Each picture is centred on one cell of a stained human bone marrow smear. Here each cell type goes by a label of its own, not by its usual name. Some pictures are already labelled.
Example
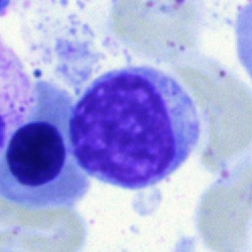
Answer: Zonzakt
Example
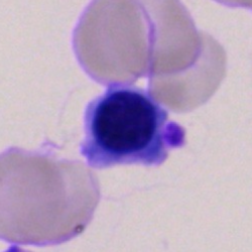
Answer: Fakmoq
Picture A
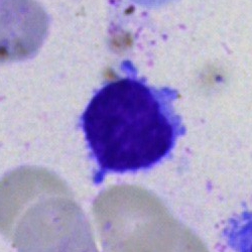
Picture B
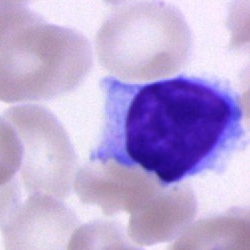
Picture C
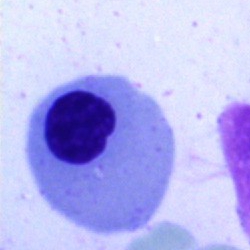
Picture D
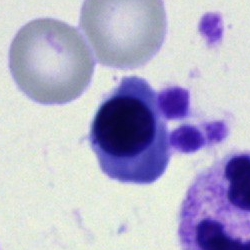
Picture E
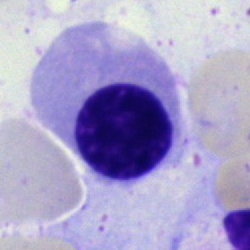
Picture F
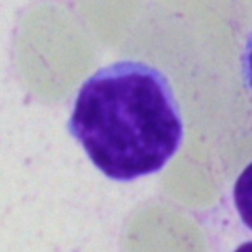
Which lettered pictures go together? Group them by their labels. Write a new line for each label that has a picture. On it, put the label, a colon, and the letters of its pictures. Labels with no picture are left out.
Zonzakt: A, B, F
Fakmoq: C, D, E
